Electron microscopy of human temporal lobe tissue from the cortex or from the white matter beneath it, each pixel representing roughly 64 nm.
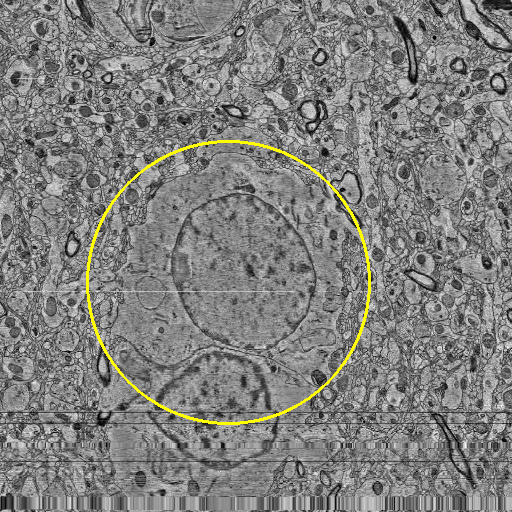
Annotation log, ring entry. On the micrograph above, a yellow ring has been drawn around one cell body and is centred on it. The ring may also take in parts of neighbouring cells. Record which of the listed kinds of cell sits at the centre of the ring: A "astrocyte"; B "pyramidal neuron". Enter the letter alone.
A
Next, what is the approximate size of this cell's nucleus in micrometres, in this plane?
In this plane the nucleus spans approximately 11 by 9 micrometers.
